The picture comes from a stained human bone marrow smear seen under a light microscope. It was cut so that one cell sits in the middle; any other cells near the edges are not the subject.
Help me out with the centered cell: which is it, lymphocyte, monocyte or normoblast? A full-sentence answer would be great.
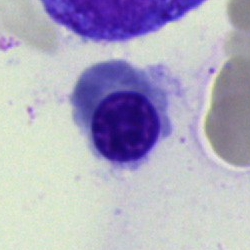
The cell marked by its central position in the crop is a normoblast.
